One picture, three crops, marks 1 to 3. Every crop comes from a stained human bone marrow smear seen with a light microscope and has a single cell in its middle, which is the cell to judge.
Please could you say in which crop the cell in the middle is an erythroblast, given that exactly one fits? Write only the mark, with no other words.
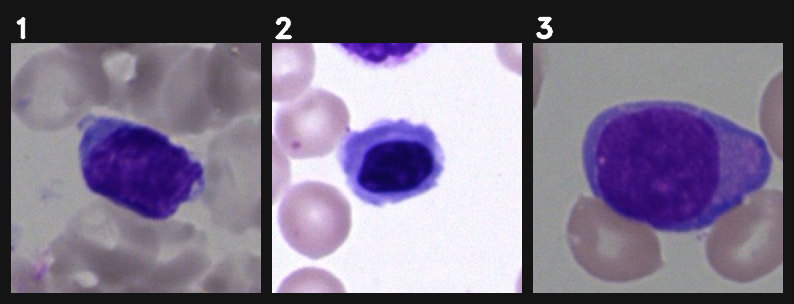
2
